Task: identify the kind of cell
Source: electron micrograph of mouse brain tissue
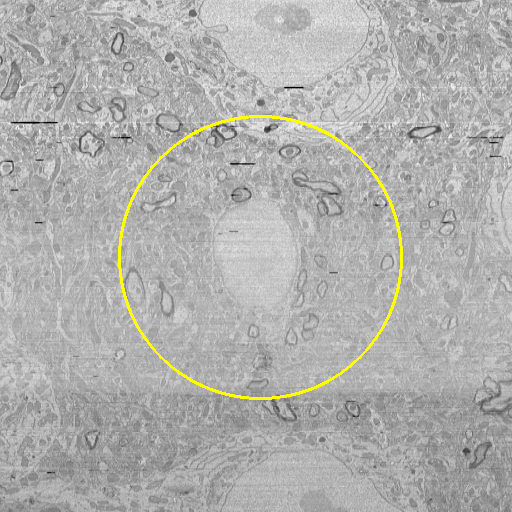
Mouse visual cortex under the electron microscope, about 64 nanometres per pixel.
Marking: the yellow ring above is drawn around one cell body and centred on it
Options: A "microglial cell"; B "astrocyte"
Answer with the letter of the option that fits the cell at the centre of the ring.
B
